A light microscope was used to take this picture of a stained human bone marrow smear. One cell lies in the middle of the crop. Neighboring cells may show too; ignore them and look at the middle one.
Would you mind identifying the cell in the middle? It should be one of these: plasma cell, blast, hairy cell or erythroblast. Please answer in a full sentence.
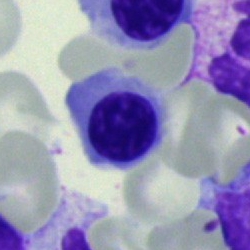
Classified as an erythroblast is the cell in the middle of this crop.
